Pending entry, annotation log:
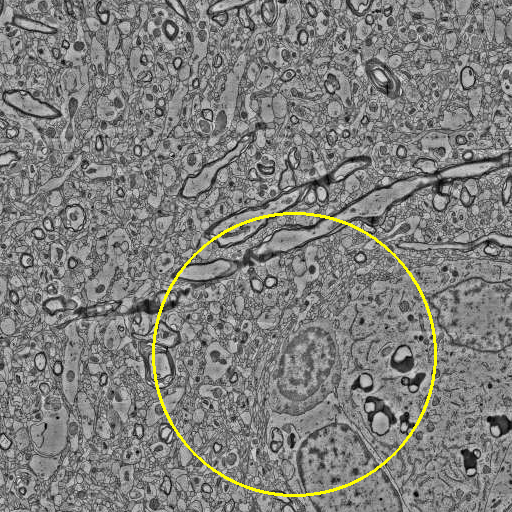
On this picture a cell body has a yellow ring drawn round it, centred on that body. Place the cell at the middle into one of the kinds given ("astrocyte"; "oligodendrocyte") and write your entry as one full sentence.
The cell body at the middle of the yellow ring belongs to an oligodendrocyte.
